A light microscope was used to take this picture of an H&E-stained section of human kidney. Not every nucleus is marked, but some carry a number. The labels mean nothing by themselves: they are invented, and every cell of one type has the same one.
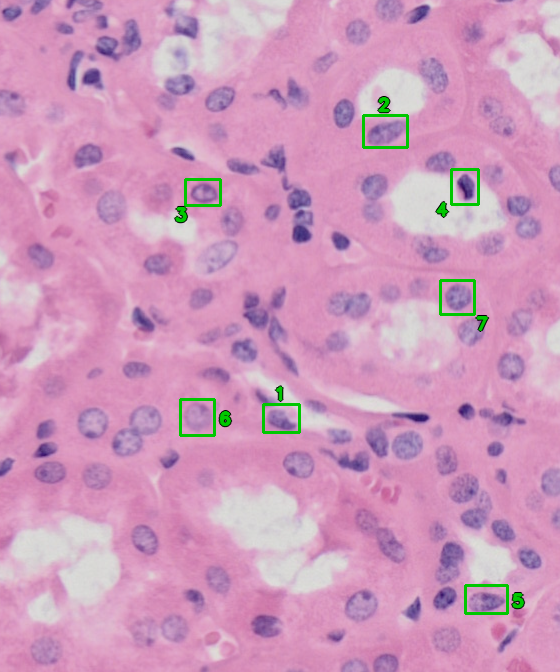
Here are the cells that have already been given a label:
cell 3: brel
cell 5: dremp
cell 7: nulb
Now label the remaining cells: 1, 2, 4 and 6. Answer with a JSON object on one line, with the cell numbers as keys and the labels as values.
{"1": "dremp", "2": "nulb", "4": "nulb", "6": "brel"}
